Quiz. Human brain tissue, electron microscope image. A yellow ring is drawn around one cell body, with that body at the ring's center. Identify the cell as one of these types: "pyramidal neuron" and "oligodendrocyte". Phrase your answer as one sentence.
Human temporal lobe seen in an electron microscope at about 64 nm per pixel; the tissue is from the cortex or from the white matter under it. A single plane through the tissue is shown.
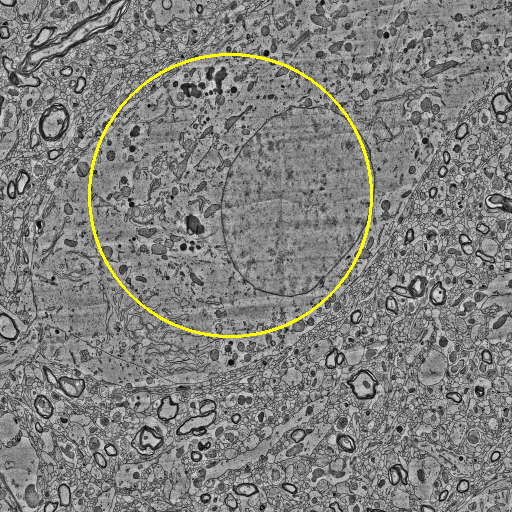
At the center of the ring sits a pyramidal neuron.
